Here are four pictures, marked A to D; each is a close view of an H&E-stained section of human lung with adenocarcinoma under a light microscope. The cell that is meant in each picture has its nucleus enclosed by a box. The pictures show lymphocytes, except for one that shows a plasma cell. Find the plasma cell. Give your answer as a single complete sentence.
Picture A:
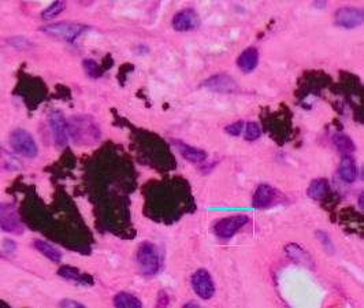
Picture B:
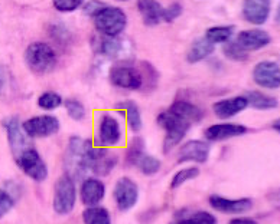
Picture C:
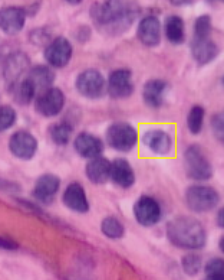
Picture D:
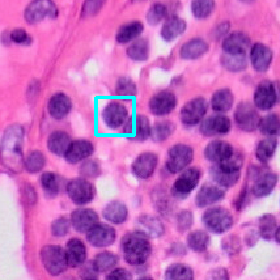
It is picture A that shows the plasma cell.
